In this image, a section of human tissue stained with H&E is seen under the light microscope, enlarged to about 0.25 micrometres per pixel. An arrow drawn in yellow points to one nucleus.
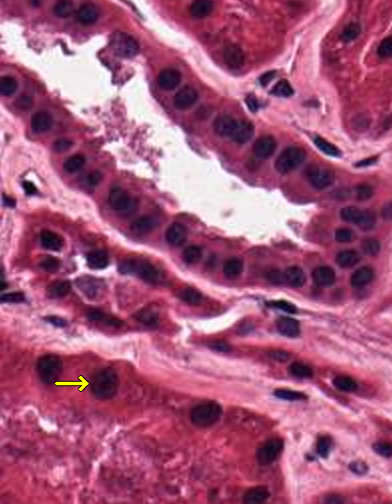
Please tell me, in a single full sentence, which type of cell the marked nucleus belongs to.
The marked nucleus is one that belongs to a proximal tubule cell.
